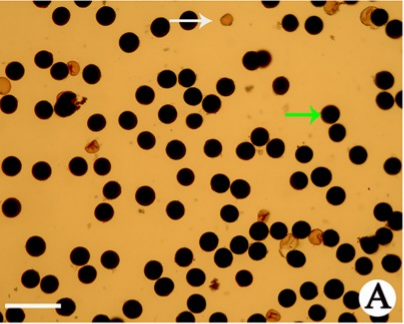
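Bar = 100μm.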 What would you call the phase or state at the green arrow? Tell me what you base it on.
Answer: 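The marked grain is round. It is stained uniformly black throughout. That points to this answer: fertile pollens.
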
